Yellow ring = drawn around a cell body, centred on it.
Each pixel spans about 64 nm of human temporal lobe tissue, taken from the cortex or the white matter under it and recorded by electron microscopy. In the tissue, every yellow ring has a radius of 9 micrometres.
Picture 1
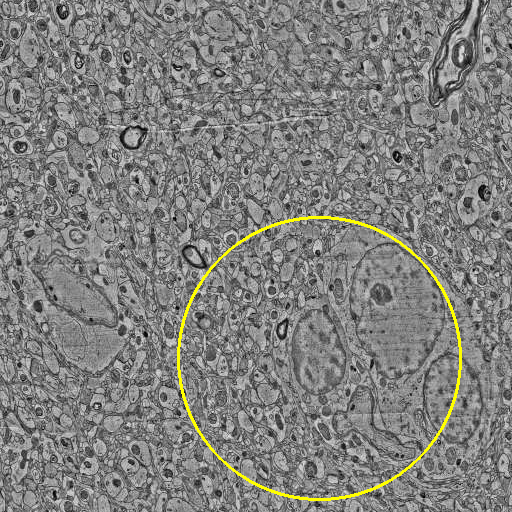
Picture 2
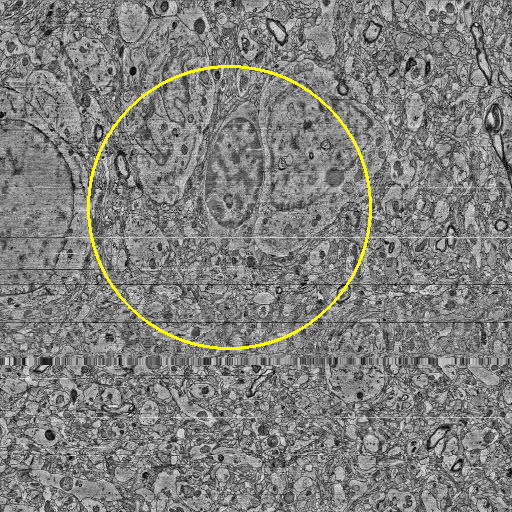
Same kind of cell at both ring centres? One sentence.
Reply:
Yes, they are the same kind of cell.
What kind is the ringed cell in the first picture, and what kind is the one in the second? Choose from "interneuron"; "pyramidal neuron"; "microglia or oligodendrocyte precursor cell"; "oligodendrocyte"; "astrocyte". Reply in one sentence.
In both pictures the ring is centred on an oligodendrocyte.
